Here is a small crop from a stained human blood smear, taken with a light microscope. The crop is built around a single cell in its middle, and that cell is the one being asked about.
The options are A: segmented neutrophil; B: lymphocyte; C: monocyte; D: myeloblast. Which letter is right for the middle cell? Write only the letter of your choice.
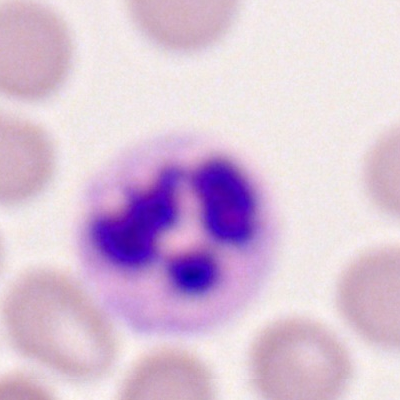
A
